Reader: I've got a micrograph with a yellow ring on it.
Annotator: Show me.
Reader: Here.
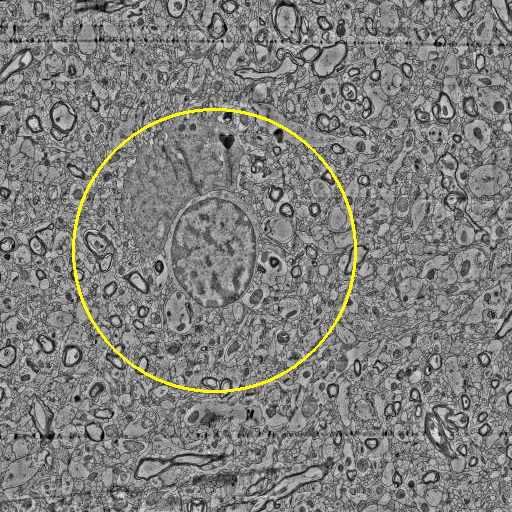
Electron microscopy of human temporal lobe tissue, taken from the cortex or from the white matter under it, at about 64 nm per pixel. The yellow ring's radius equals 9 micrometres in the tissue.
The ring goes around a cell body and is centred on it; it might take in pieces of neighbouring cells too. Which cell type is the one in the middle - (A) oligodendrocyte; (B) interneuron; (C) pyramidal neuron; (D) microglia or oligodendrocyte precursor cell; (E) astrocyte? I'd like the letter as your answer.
A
